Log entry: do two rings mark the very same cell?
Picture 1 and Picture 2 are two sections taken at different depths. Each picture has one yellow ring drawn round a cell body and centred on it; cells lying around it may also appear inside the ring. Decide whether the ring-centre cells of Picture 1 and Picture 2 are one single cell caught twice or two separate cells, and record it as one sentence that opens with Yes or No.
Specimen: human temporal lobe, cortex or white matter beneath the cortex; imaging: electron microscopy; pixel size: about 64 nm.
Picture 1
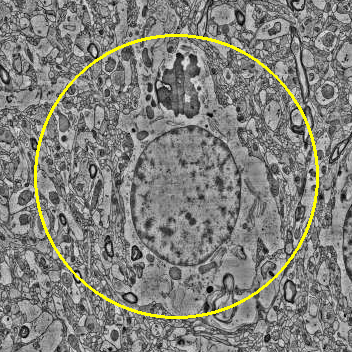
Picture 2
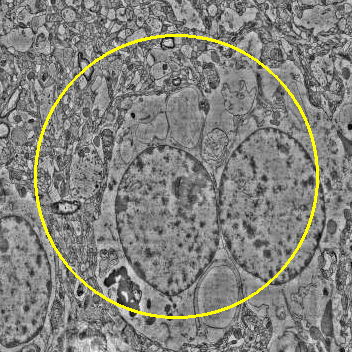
No, the two rings were placed on two different cells.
